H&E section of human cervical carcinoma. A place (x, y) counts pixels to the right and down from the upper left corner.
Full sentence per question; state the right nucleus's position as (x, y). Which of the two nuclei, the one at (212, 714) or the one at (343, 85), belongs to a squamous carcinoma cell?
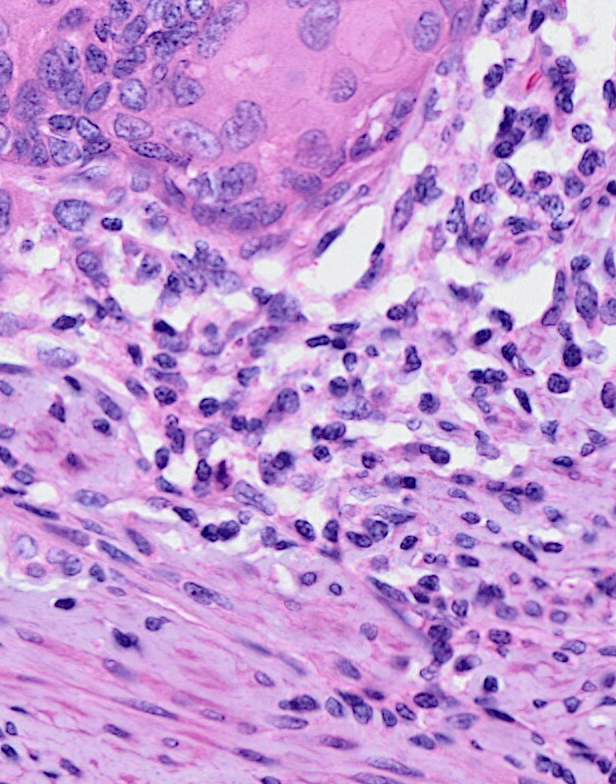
It is the nucleus at (343, 85) that belongs to a squamous carcinoma cell.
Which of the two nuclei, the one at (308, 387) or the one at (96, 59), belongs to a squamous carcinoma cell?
The nucleus positioned at (96, 59) forms part of a squamous carcinoma cell.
